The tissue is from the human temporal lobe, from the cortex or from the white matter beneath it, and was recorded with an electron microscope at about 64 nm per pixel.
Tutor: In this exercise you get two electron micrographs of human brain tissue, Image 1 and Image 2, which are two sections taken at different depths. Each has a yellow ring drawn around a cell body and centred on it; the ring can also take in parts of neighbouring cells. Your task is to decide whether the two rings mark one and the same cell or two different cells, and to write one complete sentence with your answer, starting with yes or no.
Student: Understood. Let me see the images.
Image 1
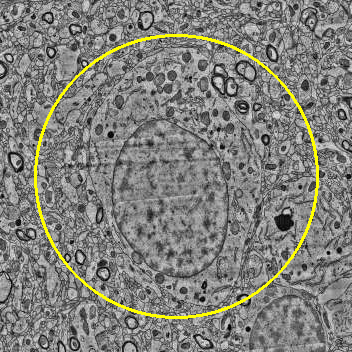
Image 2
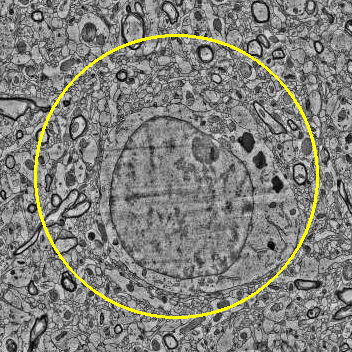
No, the two yellow rings correspond to two separate cells.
